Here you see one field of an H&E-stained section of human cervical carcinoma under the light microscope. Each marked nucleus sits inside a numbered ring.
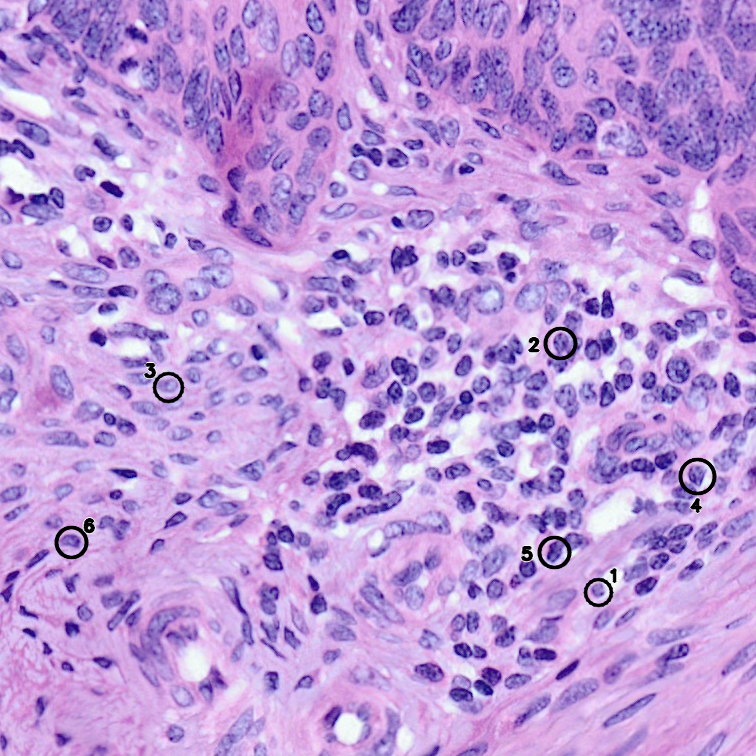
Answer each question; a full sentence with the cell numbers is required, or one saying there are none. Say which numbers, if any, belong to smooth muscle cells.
In this section, the cells numbered 3 and 6 are smooth muscle cells.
